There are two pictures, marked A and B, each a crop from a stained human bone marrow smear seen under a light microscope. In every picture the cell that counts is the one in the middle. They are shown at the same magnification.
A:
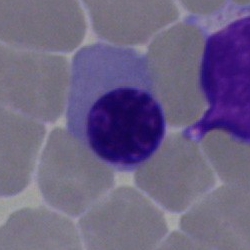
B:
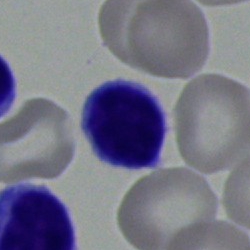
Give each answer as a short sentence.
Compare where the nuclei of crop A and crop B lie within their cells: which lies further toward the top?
The nucleus in crop B lies further toward the top of its cell.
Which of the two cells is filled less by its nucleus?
It is the cell in crop A that is filled less by its nucleus.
